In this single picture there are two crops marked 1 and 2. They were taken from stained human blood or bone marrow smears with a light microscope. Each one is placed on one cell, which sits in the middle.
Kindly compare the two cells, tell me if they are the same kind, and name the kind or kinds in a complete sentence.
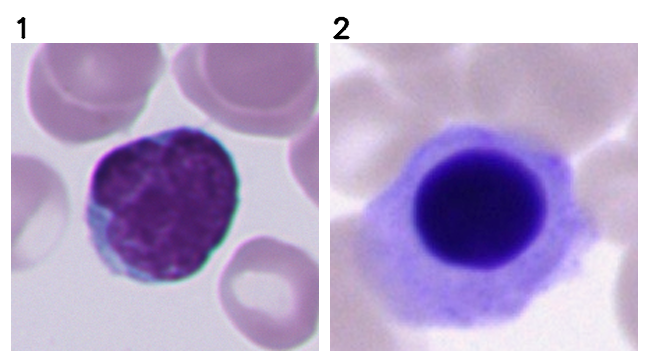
No, sorry, crop 1 shows a lymphocyte and crop 2 shows an erythroblast.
